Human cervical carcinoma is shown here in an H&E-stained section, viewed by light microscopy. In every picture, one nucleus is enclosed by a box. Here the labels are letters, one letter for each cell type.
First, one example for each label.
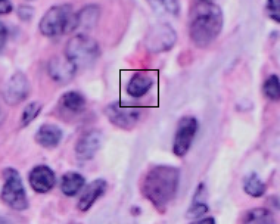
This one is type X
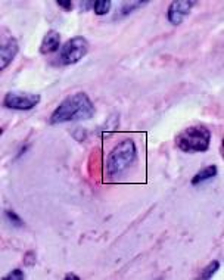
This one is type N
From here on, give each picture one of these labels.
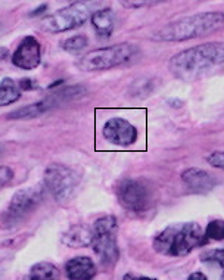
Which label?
type X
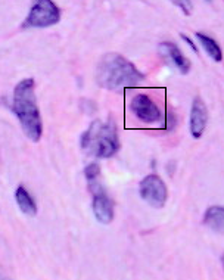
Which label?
type N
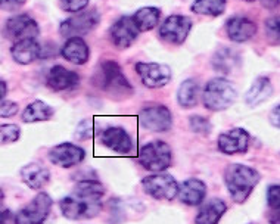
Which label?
type X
